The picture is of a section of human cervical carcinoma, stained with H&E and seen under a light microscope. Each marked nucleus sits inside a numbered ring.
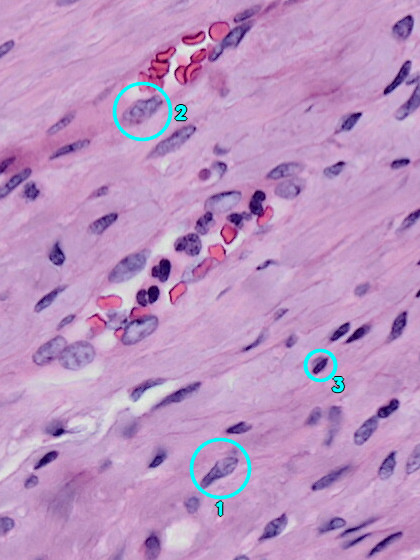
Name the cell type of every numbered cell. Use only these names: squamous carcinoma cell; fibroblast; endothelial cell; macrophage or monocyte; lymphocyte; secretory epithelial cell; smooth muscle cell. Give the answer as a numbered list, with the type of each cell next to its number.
1. fibroblast
2. endothelial cell
3. fibroblast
